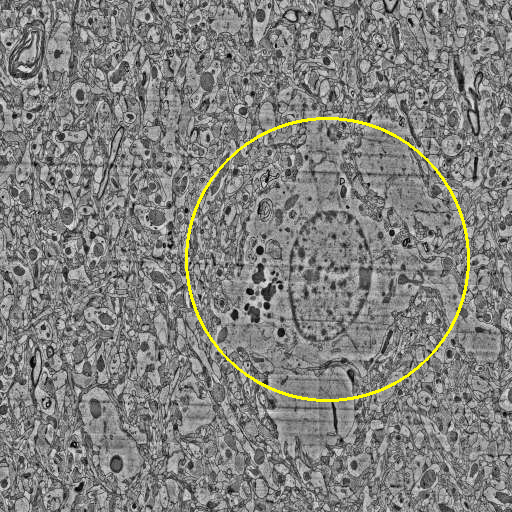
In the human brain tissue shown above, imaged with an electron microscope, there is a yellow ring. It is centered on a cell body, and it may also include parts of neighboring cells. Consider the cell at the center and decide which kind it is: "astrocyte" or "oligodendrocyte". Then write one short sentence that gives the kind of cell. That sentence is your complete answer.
This centered cell body is that of an astrocyte.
